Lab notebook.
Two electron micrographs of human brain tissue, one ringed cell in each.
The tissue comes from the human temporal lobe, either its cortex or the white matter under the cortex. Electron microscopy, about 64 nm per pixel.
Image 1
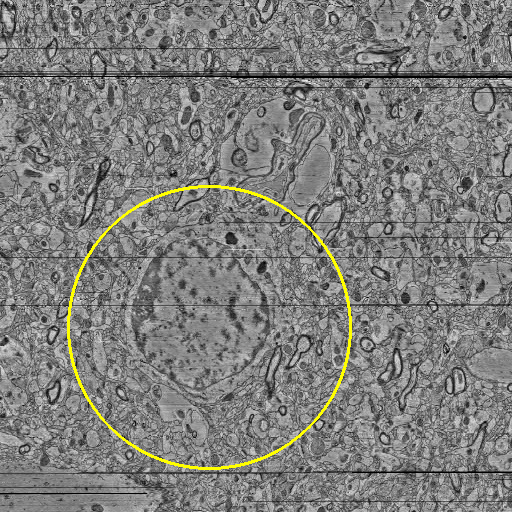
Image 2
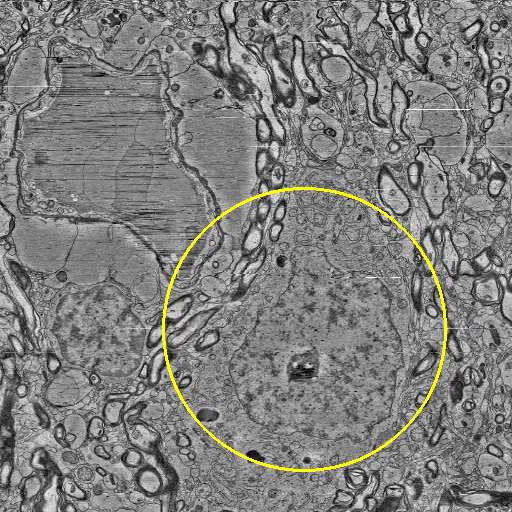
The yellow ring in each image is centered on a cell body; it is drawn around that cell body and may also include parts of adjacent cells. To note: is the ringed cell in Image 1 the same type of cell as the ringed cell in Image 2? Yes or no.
yes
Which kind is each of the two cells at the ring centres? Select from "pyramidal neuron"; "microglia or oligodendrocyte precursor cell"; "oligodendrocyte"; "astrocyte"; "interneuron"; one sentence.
Both pictures show an interneuron at the centre of the ring.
